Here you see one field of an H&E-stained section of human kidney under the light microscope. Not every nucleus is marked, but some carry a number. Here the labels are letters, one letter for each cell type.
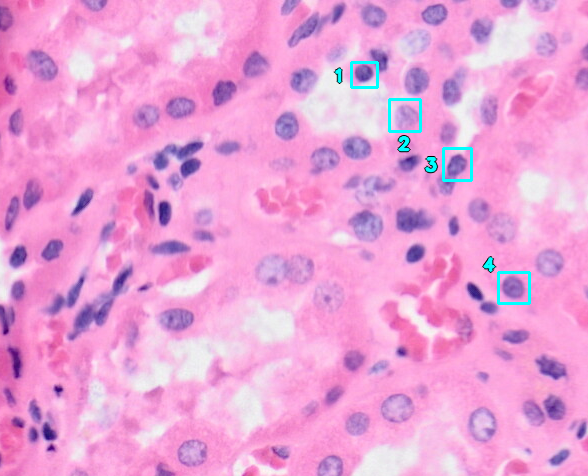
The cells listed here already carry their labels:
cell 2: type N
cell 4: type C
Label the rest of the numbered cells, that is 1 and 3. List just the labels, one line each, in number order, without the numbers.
type N
type N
